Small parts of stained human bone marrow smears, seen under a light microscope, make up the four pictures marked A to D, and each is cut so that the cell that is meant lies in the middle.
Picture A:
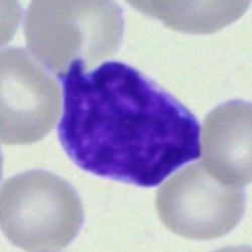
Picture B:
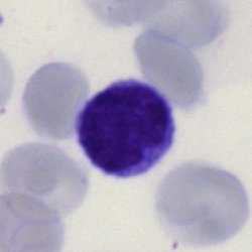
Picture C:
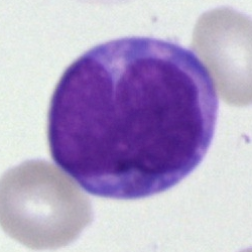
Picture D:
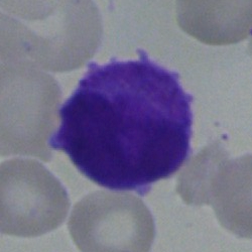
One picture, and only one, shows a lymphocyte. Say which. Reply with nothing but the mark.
B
